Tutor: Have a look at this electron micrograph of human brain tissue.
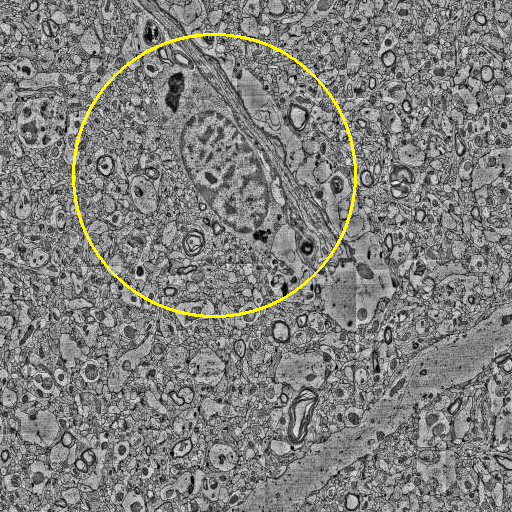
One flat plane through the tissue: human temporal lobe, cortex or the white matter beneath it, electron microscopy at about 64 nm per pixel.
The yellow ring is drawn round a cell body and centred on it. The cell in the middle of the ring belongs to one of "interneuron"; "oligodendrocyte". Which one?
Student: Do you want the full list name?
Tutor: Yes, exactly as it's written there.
oligodendrocyte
